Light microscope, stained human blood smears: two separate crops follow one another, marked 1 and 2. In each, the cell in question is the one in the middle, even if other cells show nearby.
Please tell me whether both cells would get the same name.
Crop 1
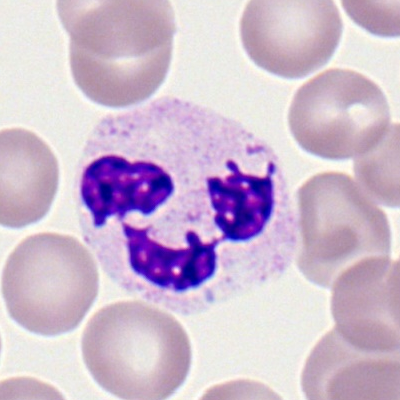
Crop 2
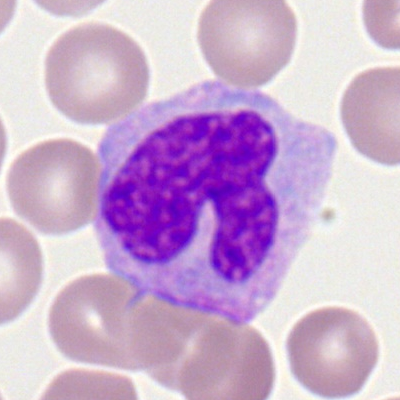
no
